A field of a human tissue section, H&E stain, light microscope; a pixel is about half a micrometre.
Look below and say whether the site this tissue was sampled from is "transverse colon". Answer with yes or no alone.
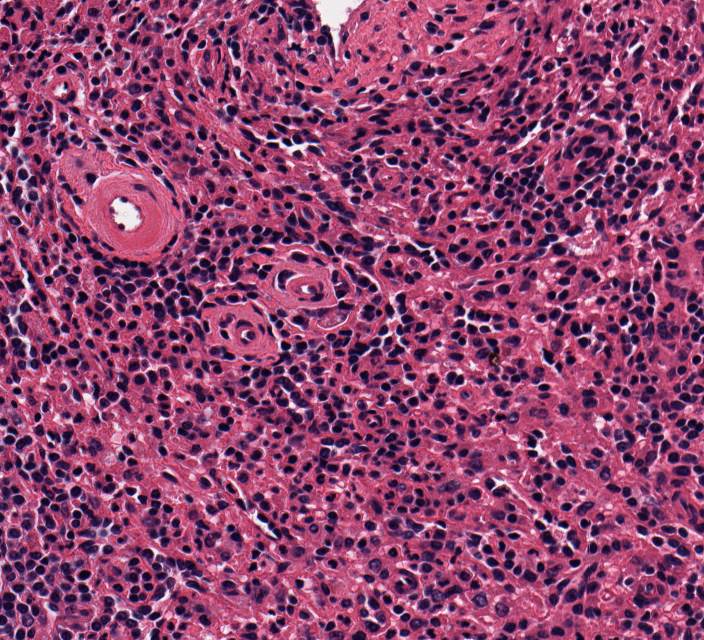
no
